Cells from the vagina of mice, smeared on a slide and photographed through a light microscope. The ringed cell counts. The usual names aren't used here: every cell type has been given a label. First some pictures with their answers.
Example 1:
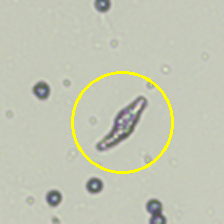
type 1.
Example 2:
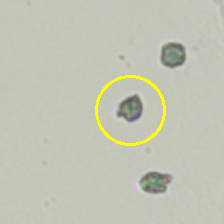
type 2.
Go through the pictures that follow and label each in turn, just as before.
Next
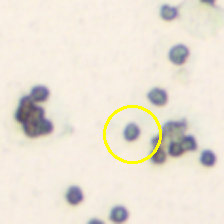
type 2.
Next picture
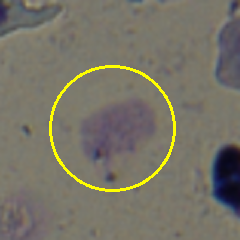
type 1.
